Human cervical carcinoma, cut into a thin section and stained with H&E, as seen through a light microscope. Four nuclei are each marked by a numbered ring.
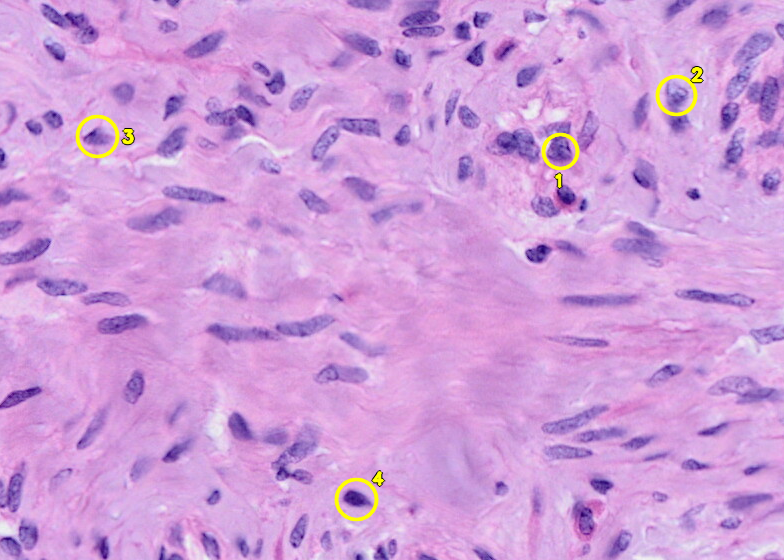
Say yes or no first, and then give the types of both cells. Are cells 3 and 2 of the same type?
Yes, cells 3 and 2 fall into the same group, both being fibroblasts.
